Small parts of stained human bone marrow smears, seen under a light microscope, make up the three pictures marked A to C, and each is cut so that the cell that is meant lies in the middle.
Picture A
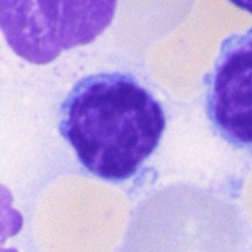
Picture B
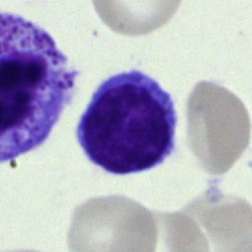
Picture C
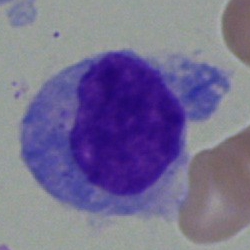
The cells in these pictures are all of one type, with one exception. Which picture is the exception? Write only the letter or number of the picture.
C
